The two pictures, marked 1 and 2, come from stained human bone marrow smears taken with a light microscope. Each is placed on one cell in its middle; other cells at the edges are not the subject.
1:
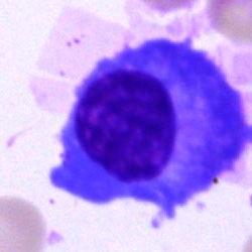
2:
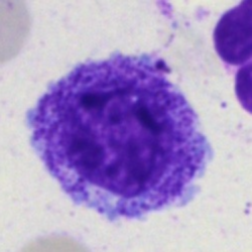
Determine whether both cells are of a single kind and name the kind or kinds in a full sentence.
No, crop 1 contains a plasma cell, whereas crop 2 contains a myelocyte.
